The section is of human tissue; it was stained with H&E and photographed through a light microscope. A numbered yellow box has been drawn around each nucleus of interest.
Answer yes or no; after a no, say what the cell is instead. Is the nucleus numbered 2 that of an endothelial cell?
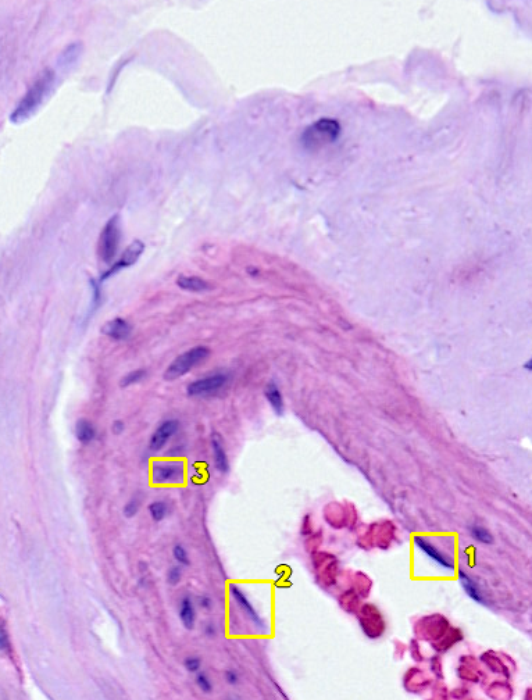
Yes.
